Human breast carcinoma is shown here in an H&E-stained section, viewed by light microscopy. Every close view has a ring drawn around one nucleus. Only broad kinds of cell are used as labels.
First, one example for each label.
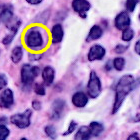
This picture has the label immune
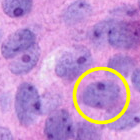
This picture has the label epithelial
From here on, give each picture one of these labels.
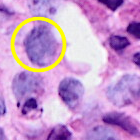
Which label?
epithelial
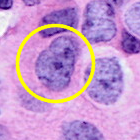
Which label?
epithelial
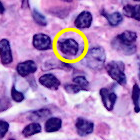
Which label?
immune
